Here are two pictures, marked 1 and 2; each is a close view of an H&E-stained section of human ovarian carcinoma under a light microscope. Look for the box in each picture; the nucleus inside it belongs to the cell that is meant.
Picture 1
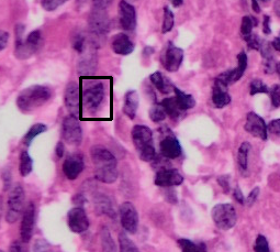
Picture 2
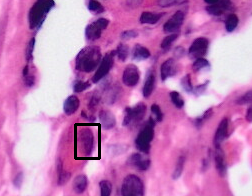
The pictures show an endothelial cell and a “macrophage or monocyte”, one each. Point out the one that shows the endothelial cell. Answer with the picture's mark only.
2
